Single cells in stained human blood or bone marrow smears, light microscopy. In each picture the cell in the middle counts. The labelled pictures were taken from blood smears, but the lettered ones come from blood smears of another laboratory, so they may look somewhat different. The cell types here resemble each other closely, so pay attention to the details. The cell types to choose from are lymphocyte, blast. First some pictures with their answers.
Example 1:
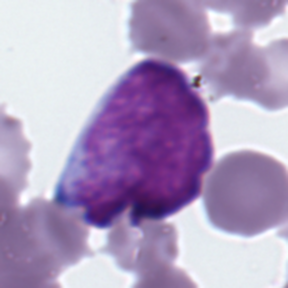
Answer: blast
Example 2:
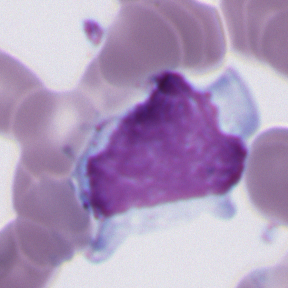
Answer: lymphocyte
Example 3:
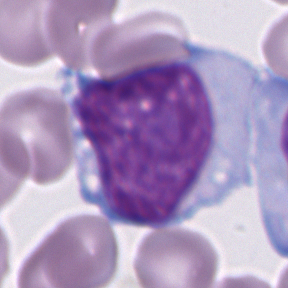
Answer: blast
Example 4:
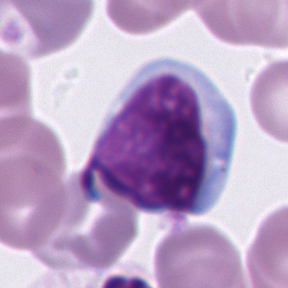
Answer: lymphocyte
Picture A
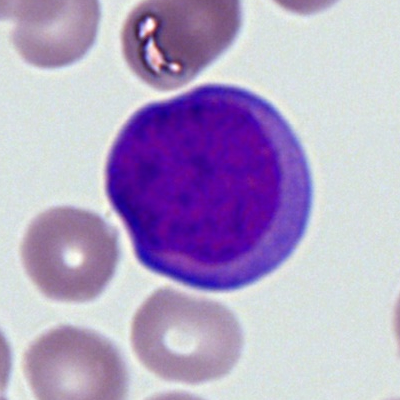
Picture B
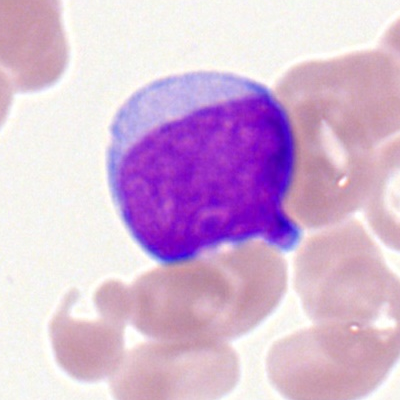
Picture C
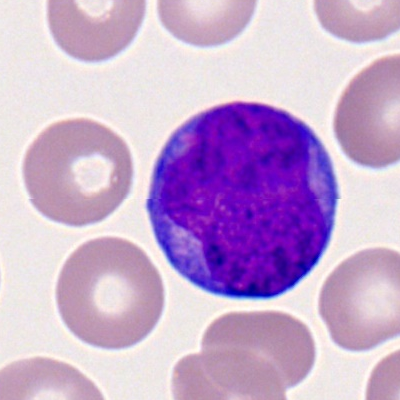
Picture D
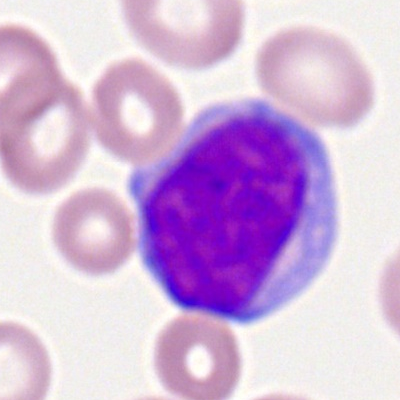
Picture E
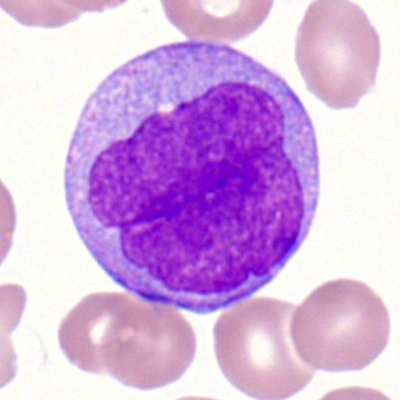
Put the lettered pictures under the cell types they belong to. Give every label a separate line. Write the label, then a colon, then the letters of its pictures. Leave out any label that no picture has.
blast: A, B, C, D, E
